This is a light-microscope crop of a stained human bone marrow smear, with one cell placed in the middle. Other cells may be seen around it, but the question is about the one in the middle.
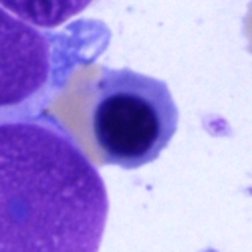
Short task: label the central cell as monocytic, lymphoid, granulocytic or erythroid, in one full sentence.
To the erythroid lineage belongs the cell in the middle of the crop.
